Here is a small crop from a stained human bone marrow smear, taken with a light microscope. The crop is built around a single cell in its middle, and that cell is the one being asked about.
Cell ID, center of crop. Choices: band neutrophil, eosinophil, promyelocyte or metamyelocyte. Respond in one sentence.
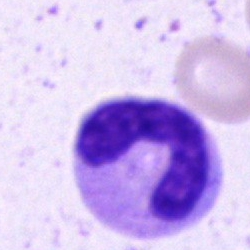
Centrally within this crop lies a band neutrophil.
